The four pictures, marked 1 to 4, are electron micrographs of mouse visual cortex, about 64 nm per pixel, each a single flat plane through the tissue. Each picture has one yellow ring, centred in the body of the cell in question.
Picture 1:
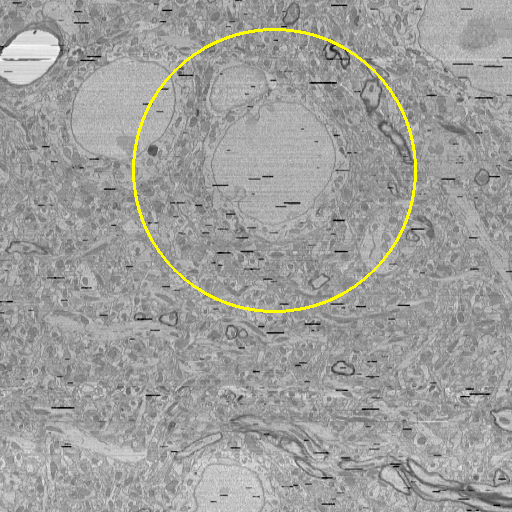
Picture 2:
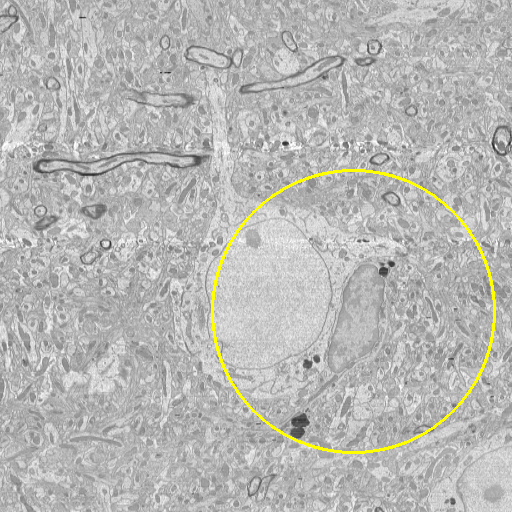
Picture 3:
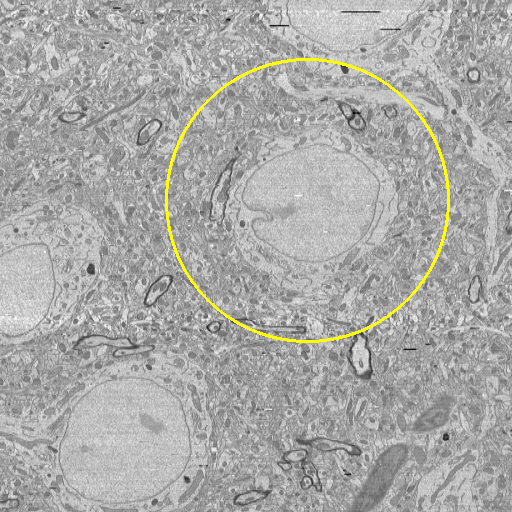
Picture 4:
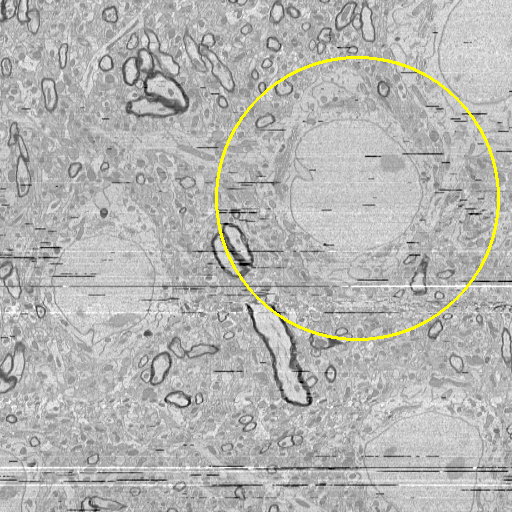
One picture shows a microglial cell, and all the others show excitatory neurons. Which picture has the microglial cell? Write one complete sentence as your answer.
It is picture 2 that shows the microglial cell.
